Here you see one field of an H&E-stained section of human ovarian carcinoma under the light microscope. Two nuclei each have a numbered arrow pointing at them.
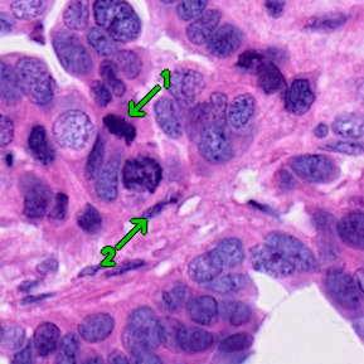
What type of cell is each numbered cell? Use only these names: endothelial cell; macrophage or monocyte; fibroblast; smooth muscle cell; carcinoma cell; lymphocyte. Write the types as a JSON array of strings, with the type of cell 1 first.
["carcinoma cell", "fibroblast"]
